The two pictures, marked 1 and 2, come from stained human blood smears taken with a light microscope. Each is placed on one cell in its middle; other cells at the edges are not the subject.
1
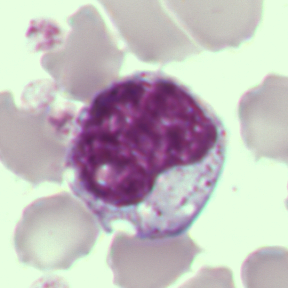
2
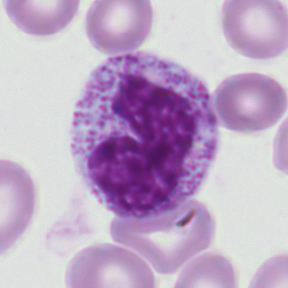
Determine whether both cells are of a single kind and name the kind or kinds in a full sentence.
No, the cell centred in crop 1 is a metamyelocyte, and that centred in crop 2 is a band neutrophil.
